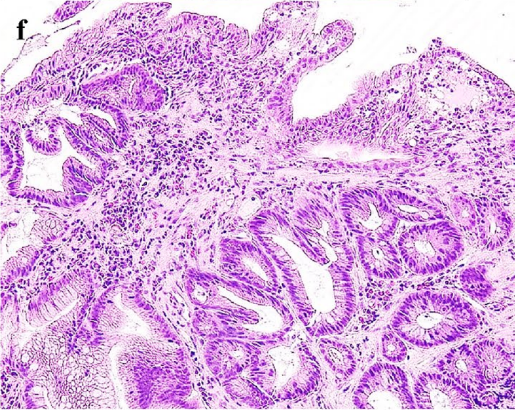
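This section of colonic mucosa shows crypts lined by tall columnar epithelium with elongated, purple nuclei arranged along the basement membrane, cut in various planes. The crypts are irregular in shape and size, some angulated or branched, rather than evenly spaced straight tubes. The lamina propria between them is densely cellular, packed with small round dark nuclei of inflammatory cells. At the surface, the epithelium forms a frond-like, partly detached lining. Some glands toward the lower left show paler cells with mucin-containing cytoplasm. Overall the mucosa shows distorted architecture with an inflamed stroma.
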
